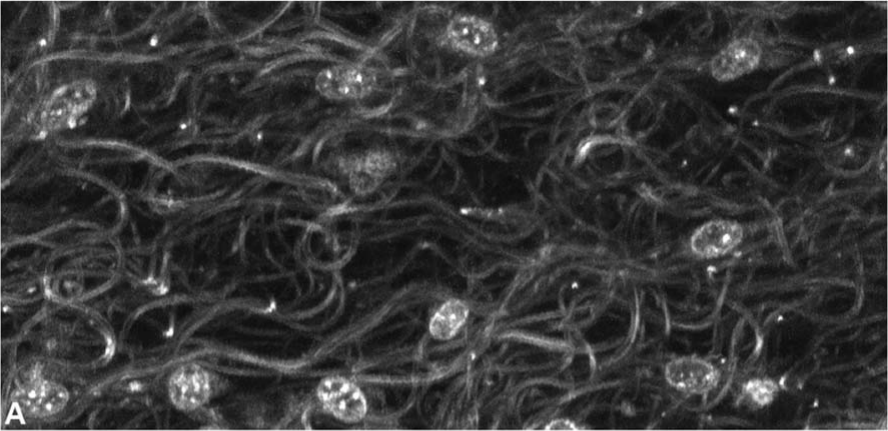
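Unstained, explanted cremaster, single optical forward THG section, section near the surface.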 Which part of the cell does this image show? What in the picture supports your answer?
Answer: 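Scattered bright oval bodies about the size of cell nuclei lie among the fibres. The oval bodies contain a few brighter small dots.
Conclusion: nuclei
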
